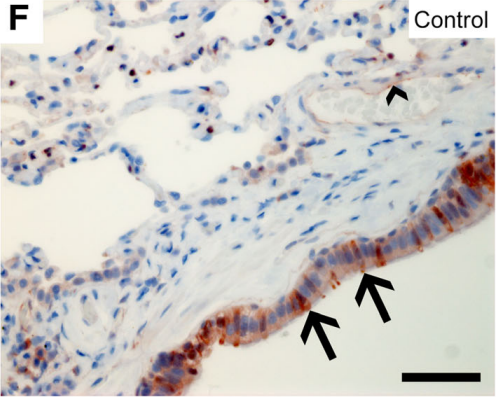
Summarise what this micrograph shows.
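This is lung with a bronchiole running along the bottom and thin-walled alveolar spaces above. The bronchiolar lining is a single layer of columnar cells, among which some cells stain a deeper brown than their neighbours; a thin band of connective tissue lies beneath the epithelium, and a small vessel above shows a faint brown rim along its flat lining cells.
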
